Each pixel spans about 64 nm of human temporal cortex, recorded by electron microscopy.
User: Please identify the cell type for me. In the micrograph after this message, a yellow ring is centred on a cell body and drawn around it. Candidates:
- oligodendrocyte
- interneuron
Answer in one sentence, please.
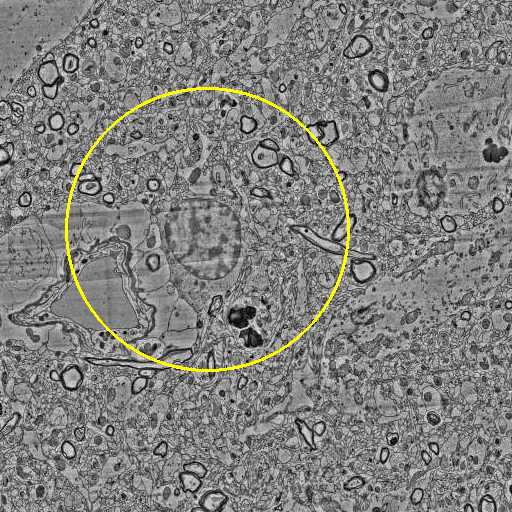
The ring is drawn around the cell body of an oligodendrocyte.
